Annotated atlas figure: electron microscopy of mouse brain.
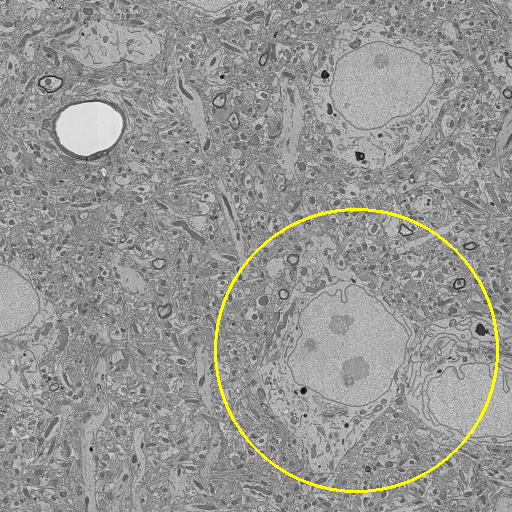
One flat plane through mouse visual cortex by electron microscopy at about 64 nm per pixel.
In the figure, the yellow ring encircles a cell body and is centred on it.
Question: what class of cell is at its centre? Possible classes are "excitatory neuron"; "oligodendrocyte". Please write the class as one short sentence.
The yellow ring is drawn around an excitatory neuron.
